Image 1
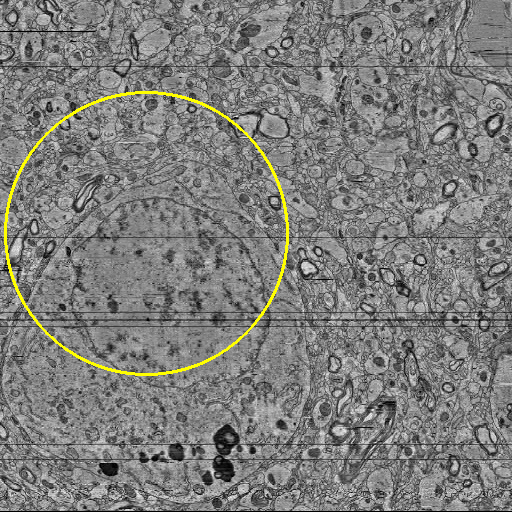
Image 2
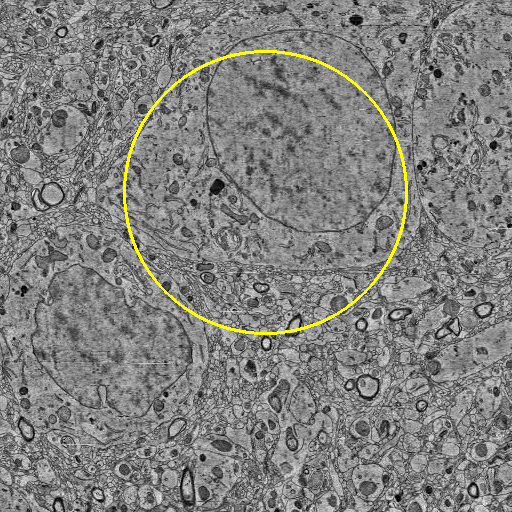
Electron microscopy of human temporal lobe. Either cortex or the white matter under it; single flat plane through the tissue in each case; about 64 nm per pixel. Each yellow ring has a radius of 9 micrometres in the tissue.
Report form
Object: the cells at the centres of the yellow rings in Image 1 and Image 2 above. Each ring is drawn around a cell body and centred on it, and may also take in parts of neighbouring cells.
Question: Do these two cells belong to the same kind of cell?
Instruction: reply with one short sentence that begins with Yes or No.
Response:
Yes, both belong to the same kind of cell.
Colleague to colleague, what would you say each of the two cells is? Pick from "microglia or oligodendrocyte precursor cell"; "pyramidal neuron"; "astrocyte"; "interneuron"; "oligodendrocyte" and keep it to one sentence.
Each cell at the centre of a ring is a pyramidal neuron.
